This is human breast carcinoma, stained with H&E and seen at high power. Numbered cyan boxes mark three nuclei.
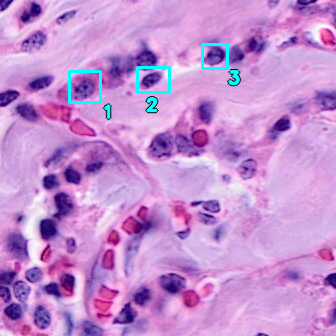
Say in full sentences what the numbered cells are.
Cell 1 is a mast cell. Cells 2 and 3 are lymphocytes.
